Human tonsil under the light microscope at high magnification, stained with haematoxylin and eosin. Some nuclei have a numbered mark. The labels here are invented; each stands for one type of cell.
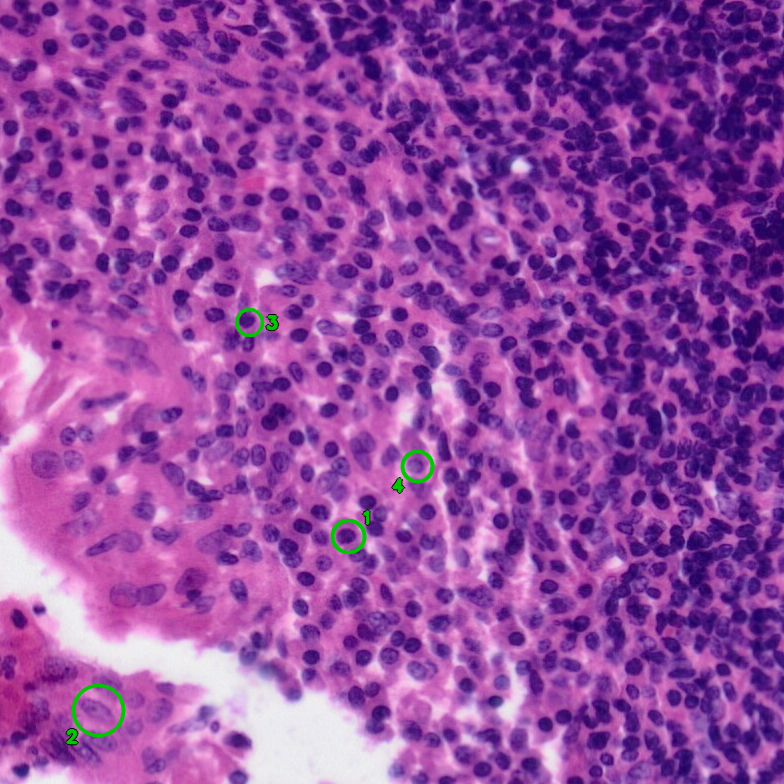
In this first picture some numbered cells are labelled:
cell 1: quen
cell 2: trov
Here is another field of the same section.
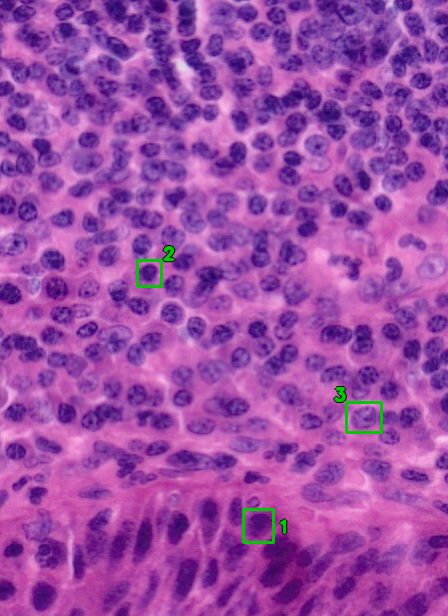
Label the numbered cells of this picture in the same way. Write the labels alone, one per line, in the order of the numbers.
trov
quen
quen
